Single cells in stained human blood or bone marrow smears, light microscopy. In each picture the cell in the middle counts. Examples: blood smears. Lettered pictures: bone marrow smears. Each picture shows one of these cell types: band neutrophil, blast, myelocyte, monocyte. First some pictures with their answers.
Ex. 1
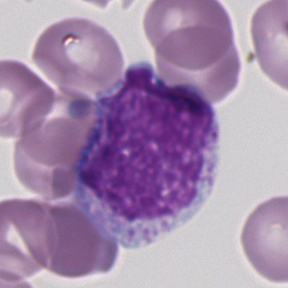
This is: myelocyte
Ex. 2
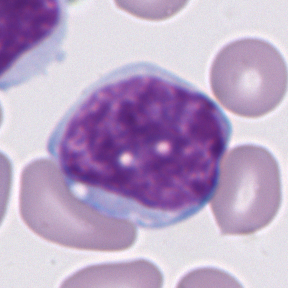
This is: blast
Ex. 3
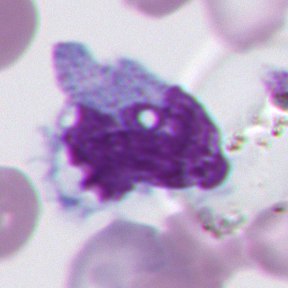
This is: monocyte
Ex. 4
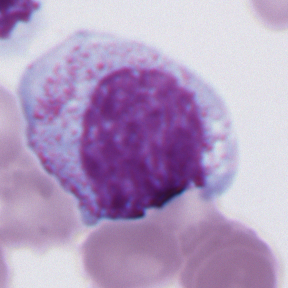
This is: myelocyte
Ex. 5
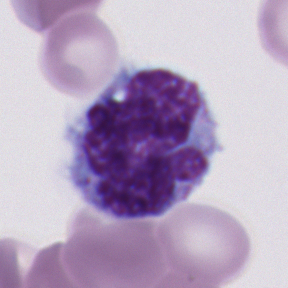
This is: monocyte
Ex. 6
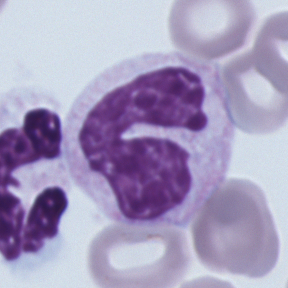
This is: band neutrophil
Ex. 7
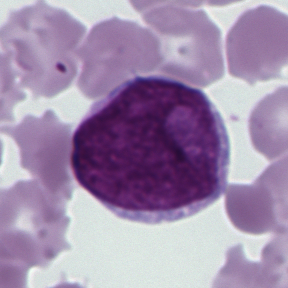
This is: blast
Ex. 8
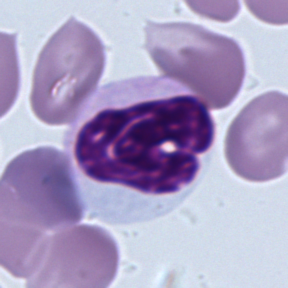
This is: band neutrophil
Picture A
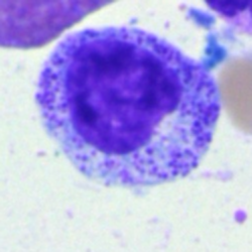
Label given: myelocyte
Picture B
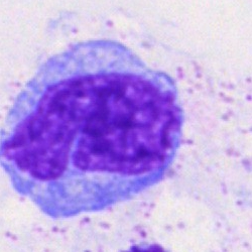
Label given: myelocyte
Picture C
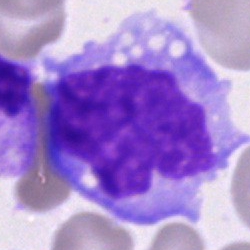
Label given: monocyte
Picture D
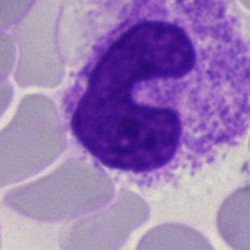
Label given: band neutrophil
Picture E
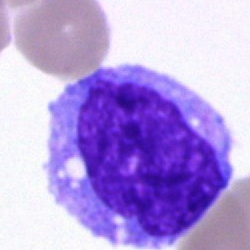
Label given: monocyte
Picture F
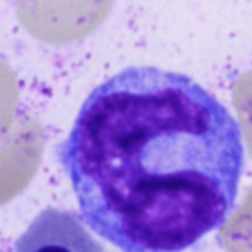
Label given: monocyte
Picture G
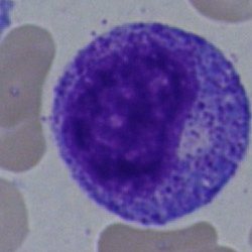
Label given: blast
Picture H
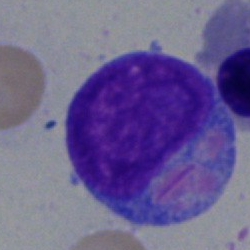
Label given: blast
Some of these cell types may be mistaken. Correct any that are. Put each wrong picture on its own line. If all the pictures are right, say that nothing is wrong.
B should be monocyte, not myelocyte
G should be myelocyte, not blast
